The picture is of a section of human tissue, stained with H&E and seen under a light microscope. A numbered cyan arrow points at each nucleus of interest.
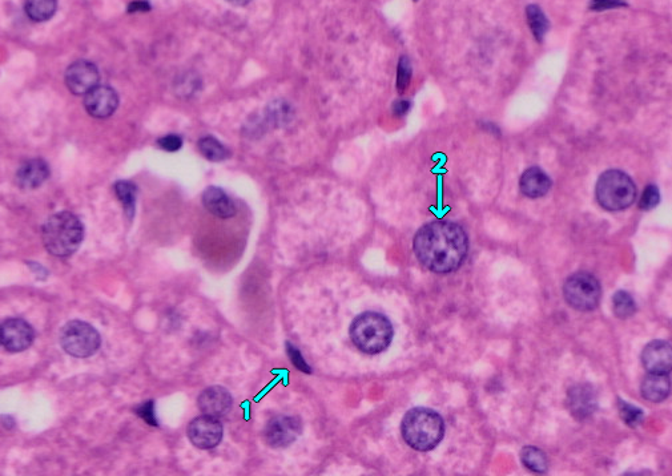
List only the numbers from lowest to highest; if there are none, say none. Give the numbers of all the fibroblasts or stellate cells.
1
